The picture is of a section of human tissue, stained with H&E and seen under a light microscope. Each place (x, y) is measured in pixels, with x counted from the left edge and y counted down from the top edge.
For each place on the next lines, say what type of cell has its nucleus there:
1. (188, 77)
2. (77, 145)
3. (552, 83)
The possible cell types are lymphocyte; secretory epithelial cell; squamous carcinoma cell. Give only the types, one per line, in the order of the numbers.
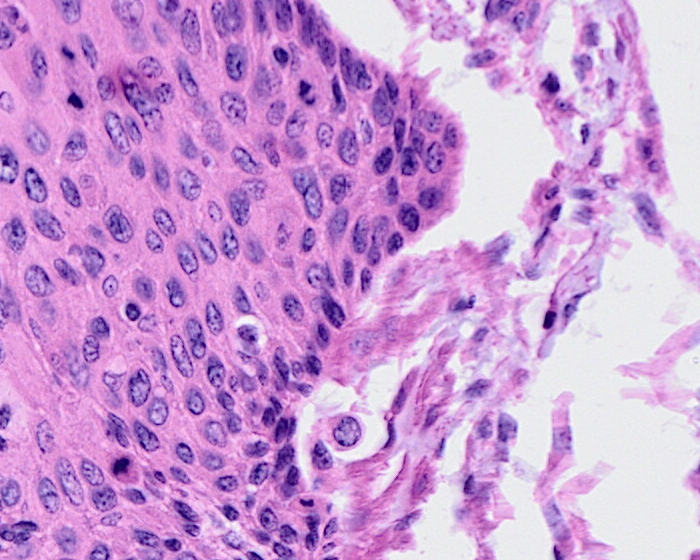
squamous carcinoma cell
squamous carcinoma cell
lymphocyte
